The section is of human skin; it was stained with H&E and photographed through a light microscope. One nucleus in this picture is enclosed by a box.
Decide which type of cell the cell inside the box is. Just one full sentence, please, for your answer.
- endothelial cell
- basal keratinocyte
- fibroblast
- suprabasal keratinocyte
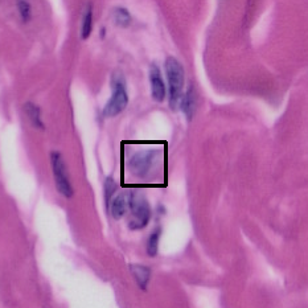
So far as cell type goes, the cell inside the box is an endothelial cell.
